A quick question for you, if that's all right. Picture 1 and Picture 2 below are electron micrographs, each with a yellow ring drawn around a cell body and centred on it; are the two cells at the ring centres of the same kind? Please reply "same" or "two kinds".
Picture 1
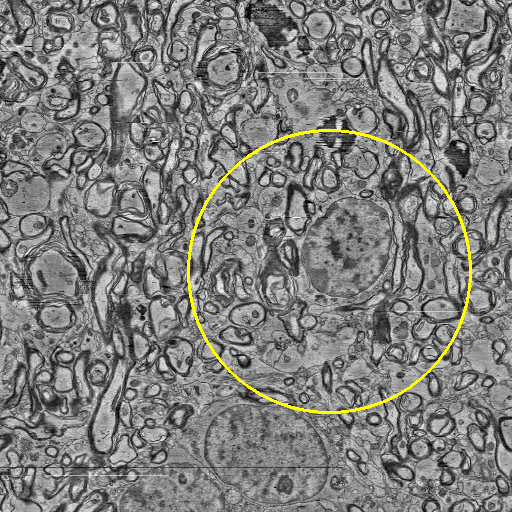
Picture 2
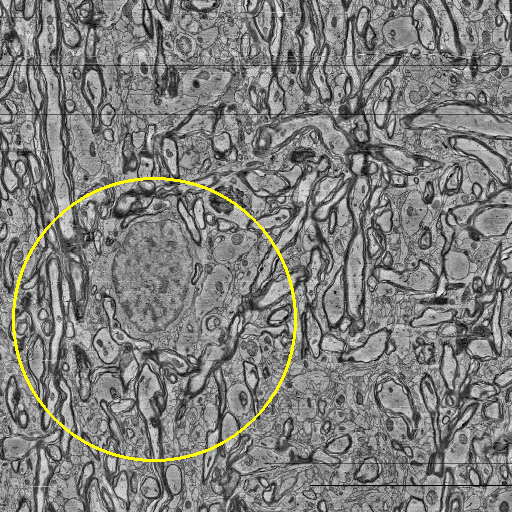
two kinds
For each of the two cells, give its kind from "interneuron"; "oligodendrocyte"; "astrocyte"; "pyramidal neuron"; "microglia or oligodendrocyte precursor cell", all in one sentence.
The first picture has a microglial cell or oligodendrocyte precursor cell in its ring, the second has an oligodendrocyte.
